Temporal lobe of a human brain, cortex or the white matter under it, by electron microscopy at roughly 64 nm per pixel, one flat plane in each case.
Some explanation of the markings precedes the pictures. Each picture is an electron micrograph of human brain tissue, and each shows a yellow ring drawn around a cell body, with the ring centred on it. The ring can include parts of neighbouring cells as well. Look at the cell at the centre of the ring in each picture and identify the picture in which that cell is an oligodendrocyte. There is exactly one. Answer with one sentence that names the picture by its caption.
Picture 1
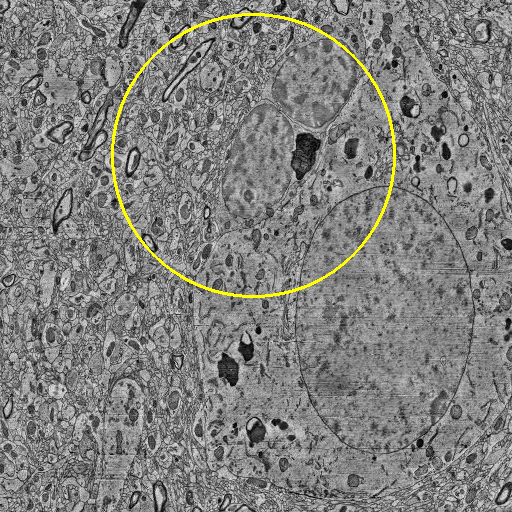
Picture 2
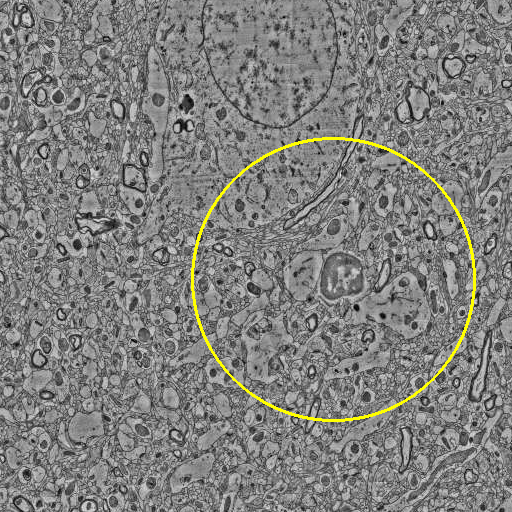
In Picture 1, the cell at the centre of the ring is of that kind.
